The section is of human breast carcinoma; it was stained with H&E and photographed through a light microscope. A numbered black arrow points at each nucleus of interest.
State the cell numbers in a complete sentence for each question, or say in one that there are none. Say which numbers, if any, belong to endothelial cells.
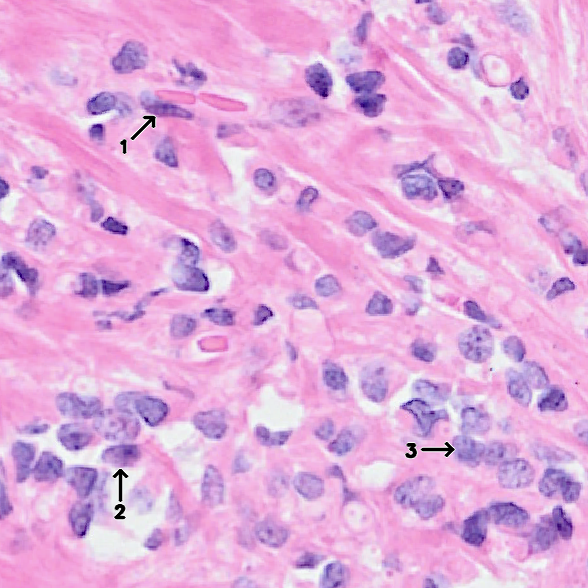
Only at number 1 is there an endothelial cell among the marked cells.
